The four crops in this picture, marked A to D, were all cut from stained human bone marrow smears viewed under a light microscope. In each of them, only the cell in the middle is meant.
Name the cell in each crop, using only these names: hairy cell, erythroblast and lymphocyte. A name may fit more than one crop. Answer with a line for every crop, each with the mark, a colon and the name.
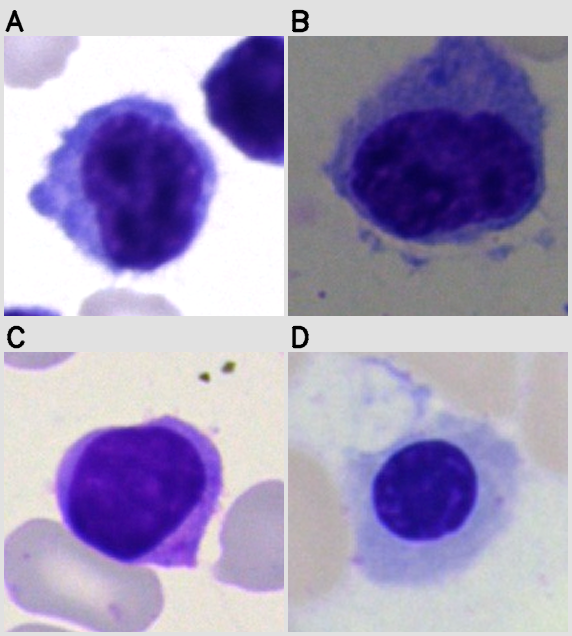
A: lymphocyte
B: hairy cell
C: lymphocyte
D: erythroblast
